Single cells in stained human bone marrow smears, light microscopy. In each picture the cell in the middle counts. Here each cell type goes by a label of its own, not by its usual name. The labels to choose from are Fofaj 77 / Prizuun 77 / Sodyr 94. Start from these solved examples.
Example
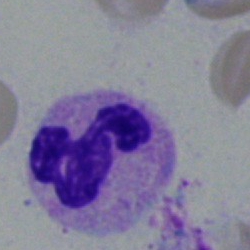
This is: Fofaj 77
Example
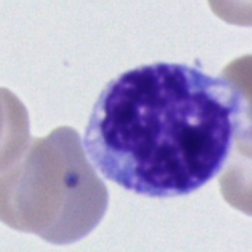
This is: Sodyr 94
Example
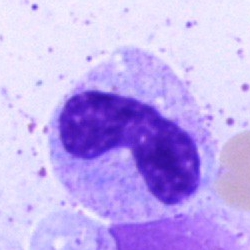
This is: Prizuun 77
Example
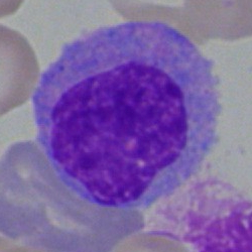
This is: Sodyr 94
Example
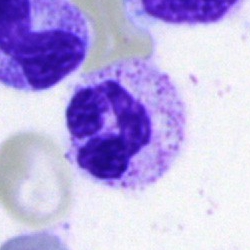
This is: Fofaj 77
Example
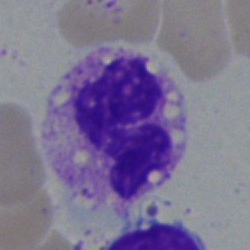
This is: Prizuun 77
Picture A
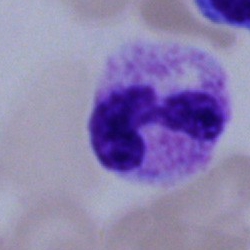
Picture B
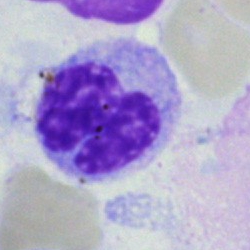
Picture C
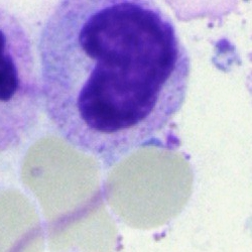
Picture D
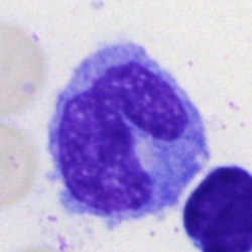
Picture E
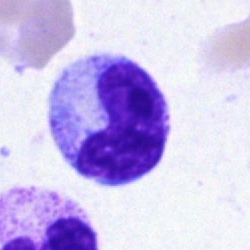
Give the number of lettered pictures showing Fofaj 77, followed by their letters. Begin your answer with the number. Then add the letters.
1: A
